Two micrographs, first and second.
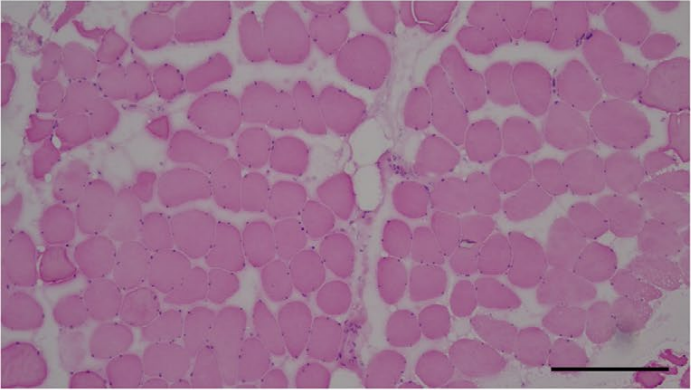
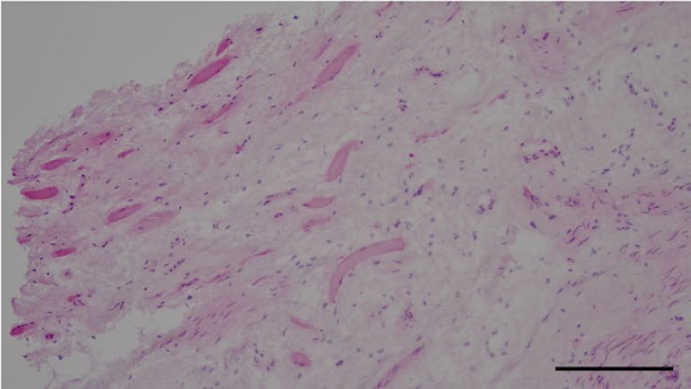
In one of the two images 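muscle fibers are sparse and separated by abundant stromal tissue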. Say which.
The second image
